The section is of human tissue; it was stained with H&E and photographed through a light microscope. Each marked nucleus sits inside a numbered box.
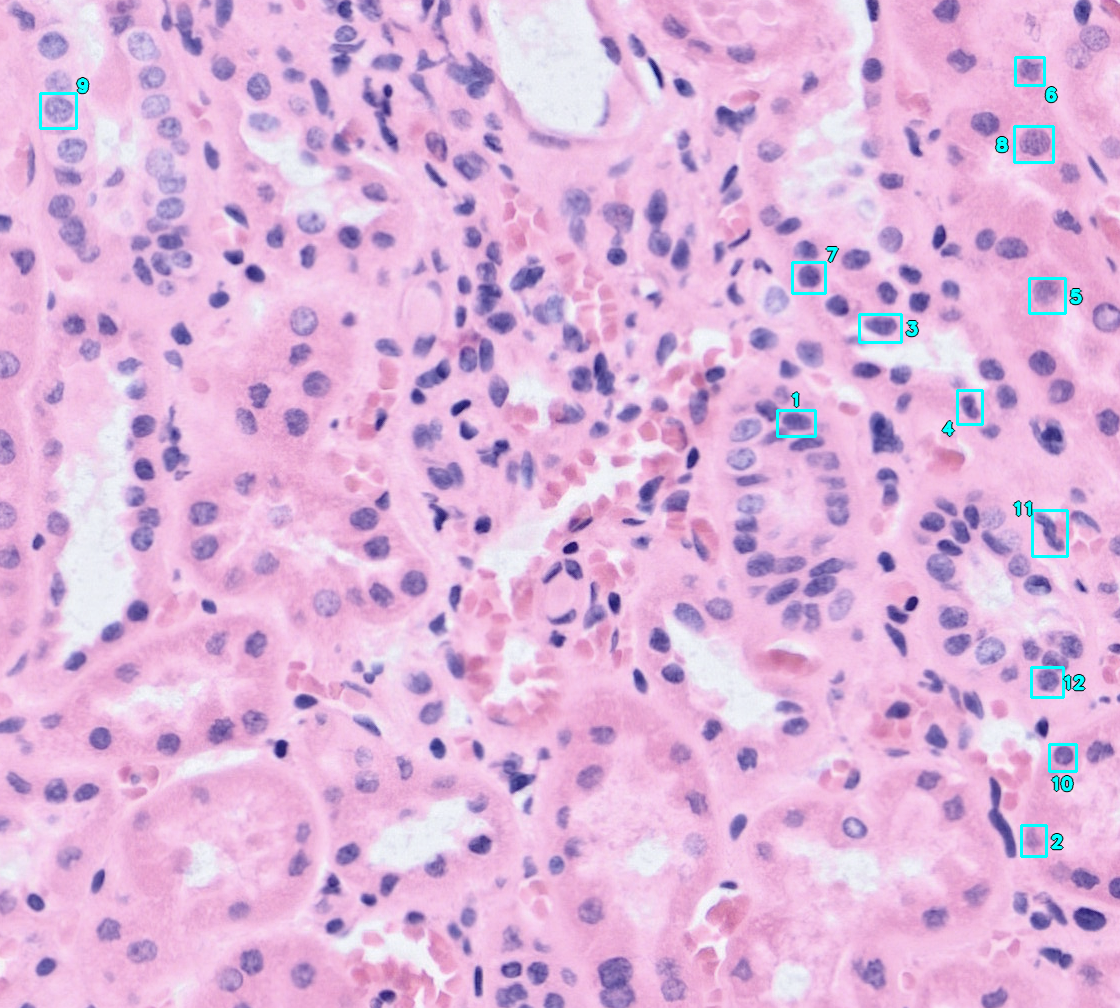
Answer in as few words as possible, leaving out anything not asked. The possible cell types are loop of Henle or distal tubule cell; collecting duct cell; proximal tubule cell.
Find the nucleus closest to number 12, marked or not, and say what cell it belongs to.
collecting duct cell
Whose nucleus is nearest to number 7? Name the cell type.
loop of Henle or distal tubule cell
